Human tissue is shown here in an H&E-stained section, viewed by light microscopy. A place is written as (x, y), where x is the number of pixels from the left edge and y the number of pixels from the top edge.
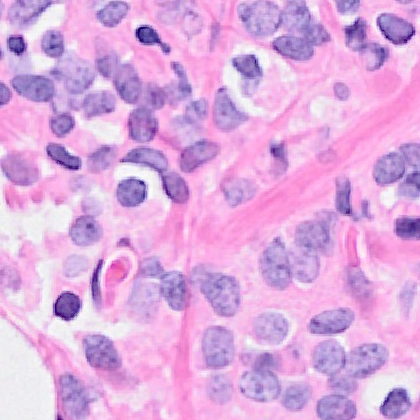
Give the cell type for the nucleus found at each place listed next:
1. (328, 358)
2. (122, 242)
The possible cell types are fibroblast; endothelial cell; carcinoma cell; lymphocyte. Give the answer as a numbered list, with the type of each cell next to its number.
1. carcinoma cell
2. endothelial cell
